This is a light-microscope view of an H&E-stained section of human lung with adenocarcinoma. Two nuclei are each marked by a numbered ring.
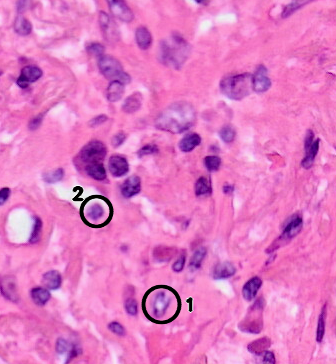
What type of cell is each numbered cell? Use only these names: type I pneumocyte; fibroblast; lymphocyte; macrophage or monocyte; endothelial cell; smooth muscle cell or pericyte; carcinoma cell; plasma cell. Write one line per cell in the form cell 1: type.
cell 1: fibroblast
cell 2: lymphocyte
